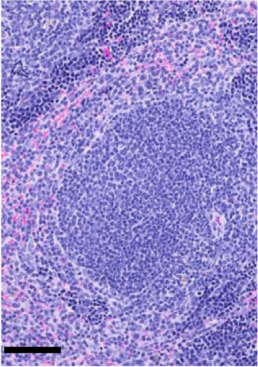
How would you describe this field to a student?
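In the middle lies a large round aggregate of tightly packed small cells with dark purple nuclei and little cytoplasm. Around it the cells are somewhat less crowded, forming a paler rim. Toward the upper left, bands of pink-red material mark areas rich in red blood cells beside the dense cell cluster.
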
